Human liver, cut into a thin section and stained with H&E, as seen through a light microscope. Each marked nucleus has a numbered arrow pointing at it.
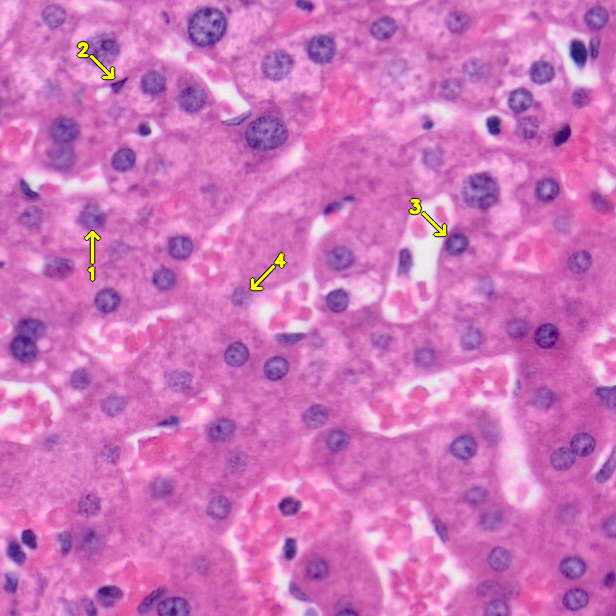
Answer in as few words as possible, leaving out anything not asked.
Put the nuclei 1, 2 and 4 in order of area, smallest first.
2, 4, 1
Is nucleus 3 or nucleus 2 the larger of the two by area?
3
